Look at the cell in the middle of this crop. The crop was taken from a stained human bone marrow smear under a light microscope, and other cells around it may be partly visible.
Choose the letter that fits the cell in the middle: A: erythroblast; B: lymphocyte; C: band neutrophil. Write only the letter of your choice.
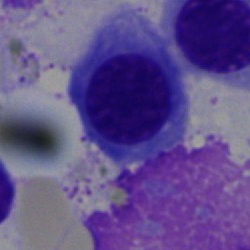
A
